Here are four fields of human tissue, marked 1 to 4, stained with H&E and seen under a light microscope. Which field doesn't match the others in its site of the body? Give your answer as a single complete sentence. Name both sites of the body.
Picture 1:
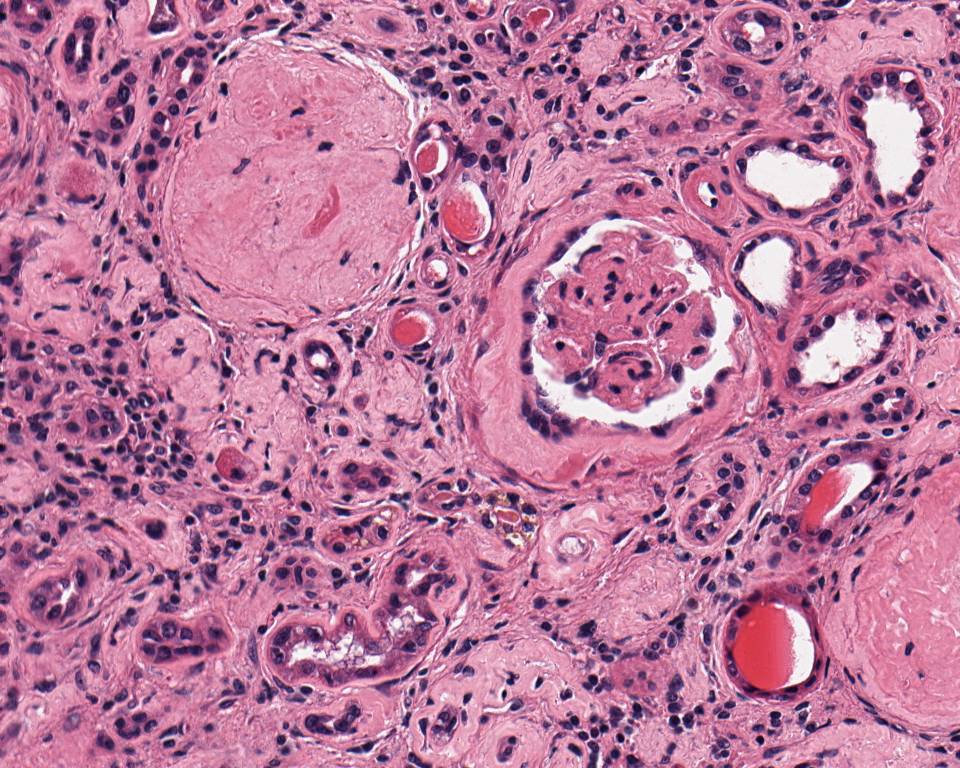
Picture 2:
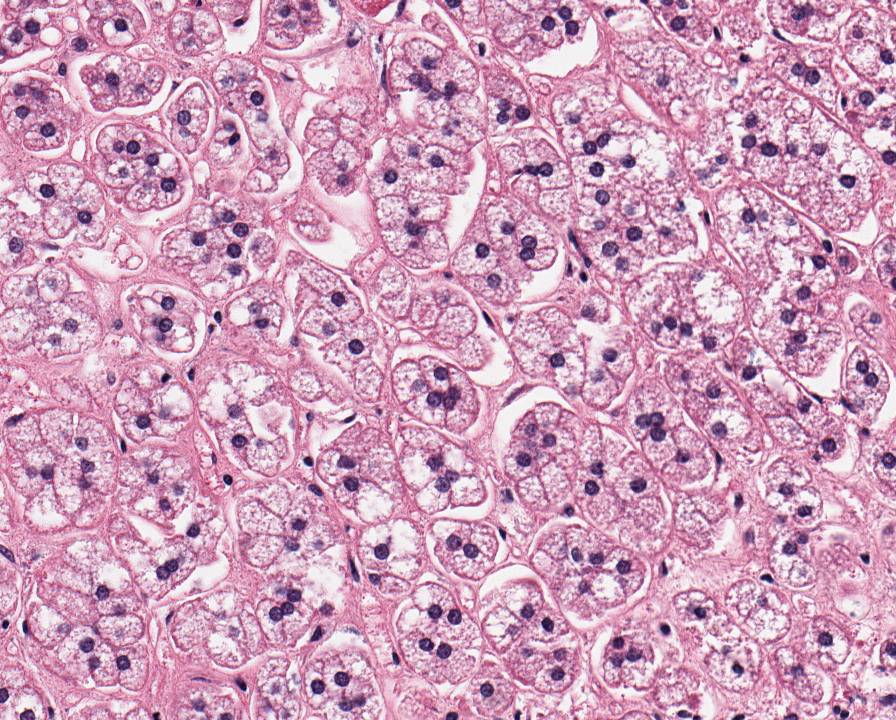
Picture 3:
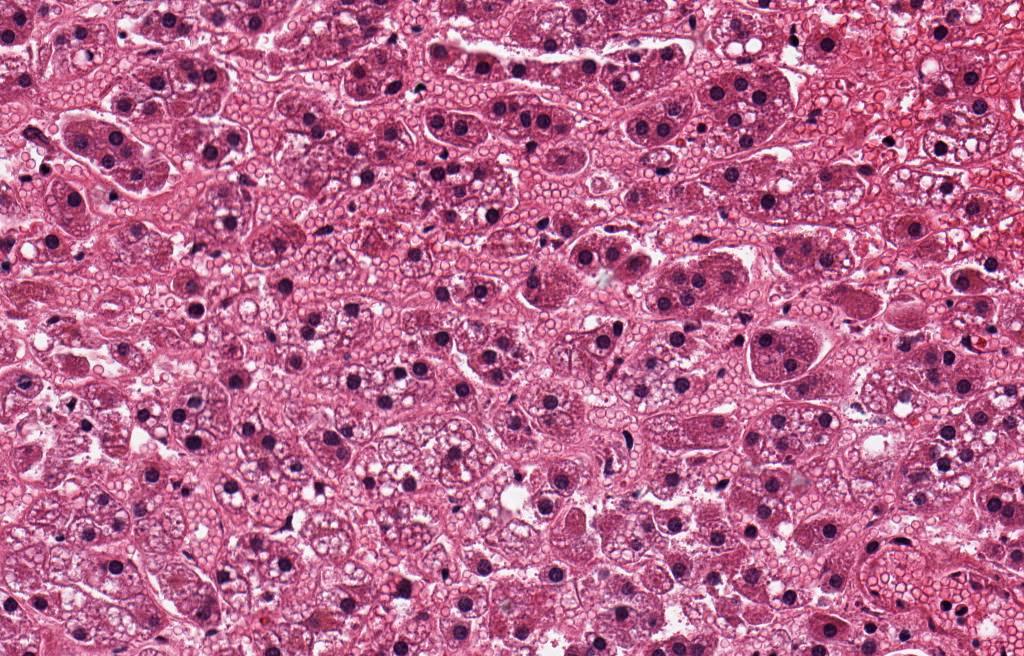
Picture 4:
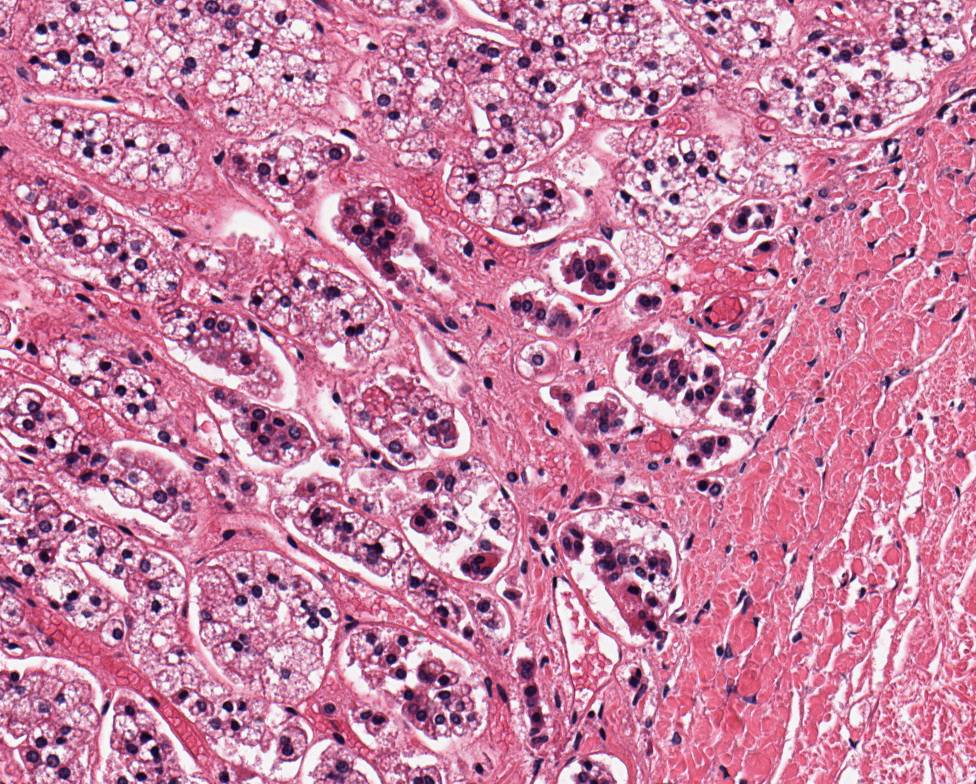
The others come from the adrenal gland, but picture 1 comes from the renal cortex.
